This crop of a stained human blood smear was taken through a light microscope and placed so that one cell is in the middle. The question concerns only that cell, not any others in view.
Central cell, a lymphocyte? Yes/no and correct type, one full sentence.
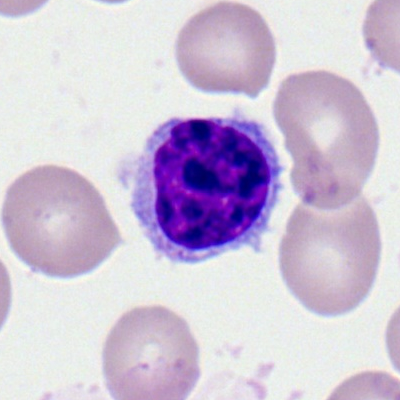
Yes, the cell that the crop is centred on is a lymphocyte.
